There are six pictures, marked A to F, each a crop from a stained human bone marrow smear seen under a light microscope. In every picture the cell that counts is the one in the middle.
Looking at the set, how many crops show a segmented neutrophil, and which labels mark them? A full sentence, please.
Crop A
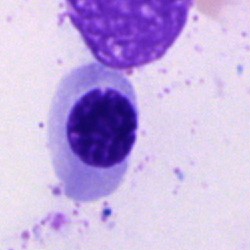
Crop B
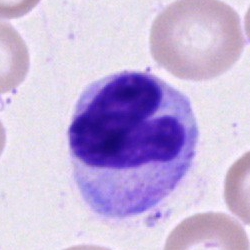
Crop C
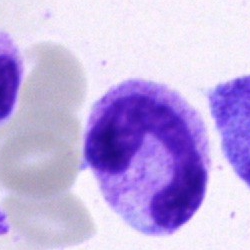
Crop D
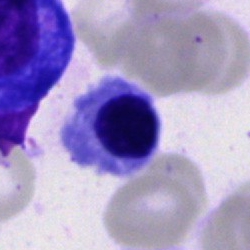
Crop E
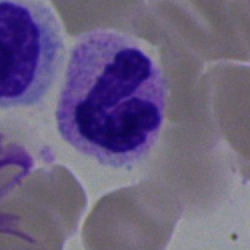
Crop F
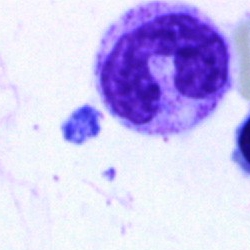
Of the crops provided, exactly one shows a segmented neutrophil, and that is crop E.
